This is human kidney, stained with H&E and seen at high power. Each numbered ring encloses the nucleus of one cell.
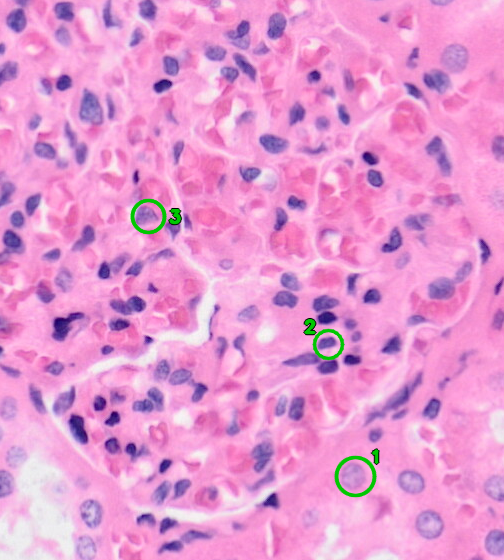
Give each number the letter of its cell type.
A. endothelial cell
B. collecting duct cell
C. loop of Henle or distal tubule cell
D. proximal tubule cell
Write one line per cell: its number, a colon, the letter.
1: D
2: A
3: A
